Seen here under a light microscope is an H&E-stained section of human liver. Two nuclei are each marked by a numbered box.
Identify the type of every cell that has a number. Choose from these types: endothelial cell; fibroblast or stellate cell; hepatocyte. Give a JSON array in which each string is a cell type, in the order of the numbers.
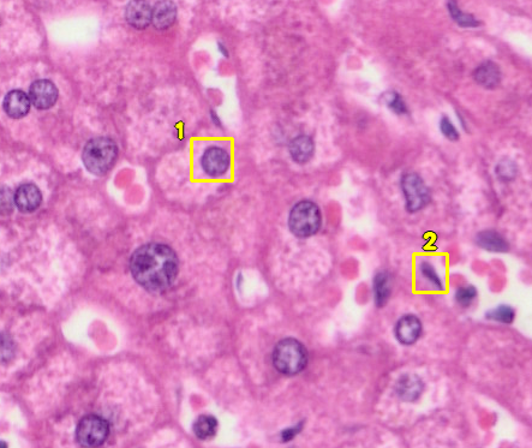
["hepatocyte", "endothelial cell"]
